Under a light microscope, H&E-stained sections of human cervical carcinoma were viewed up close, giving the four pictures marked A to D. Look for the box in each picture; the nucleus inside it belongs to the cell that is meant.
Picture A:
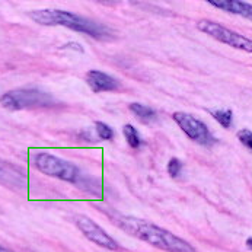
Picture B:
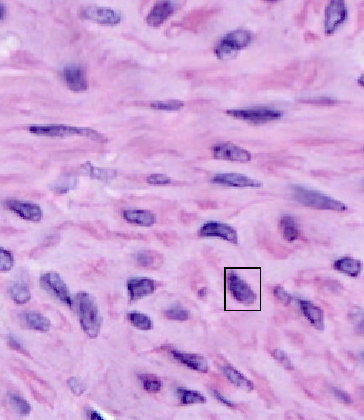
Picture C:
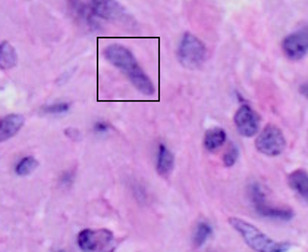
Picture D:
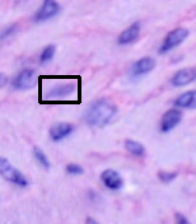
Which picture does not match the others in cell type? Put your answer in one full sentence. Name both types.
Unlike the rest, which show smooth muscle cells, picture C shows a fibroblast.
